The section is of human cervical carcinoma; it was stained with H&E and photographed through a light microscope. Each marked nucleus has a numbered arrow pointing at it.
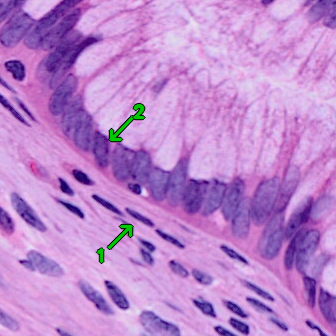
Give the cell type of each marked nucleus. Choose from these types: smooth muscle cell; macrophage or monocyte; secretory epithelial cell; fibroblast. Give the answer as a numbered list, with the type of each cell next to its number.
1. fibroblast
2. secretory epithelial cell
